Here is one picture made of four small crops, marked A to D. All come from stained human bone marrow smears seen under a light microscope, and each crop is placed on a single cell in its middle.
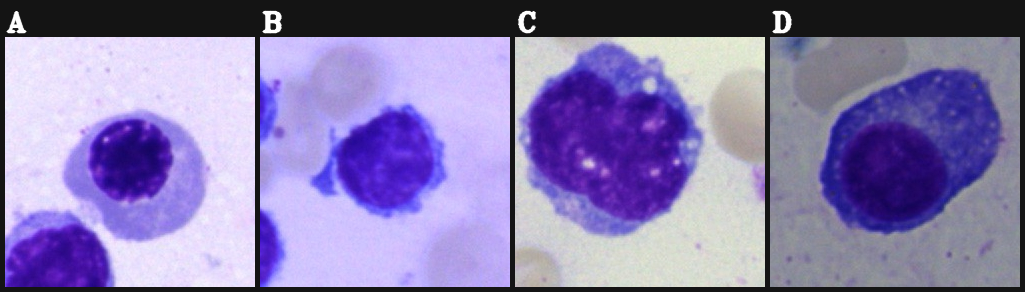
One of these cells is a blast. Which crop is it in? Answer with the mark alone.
C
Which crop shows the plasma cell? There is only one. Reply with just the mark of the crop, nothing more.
D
